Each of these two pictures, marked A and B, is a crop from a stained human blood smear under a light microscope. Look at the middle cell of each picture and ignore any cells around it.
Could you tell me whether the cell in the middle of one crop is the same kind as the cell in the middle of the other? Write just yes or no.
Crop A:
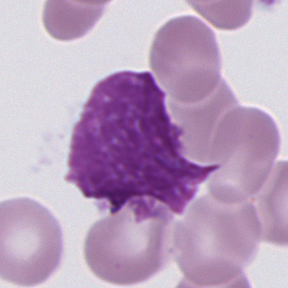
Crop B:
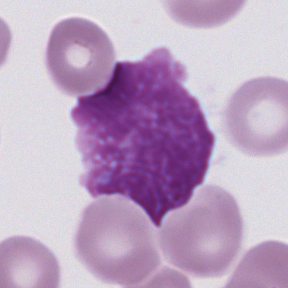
yes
